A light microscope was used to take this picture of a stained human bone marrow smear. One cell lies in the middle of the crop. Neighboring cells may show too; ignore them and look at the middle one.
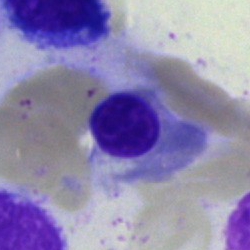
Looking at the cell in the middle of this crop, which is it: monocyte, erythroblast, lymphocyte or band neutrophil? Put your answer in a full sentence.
In the middle of this smear crop is an erythroblast.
